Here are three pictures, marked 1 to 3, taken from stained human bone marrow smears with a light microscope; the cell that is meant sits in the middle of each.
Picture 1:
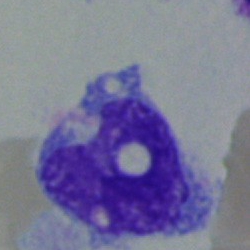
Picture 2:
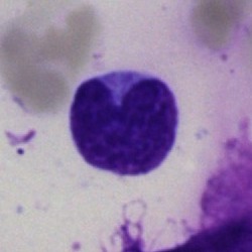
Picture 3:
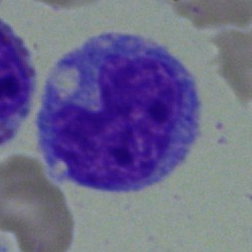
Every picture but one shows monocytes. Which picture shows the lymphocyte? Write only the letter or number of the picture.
2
